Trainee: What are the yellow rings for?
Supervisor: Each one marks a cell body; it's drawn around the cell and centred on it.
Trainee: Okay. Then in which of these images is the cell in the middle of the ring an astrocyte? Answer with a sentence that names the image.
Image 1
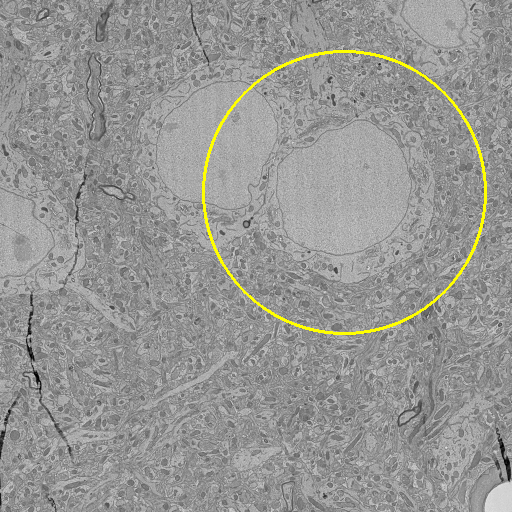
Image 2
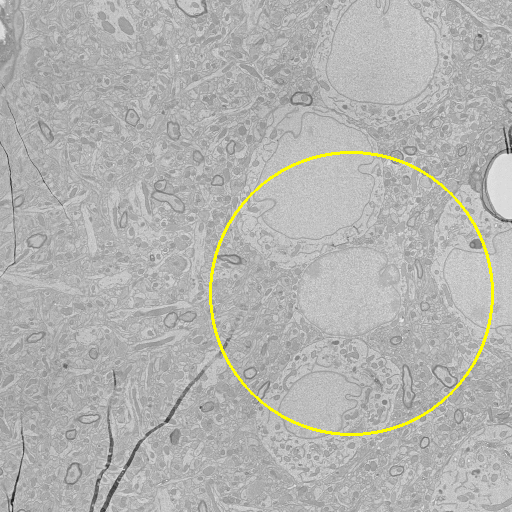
Image 2 has it in the middle of the ring.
